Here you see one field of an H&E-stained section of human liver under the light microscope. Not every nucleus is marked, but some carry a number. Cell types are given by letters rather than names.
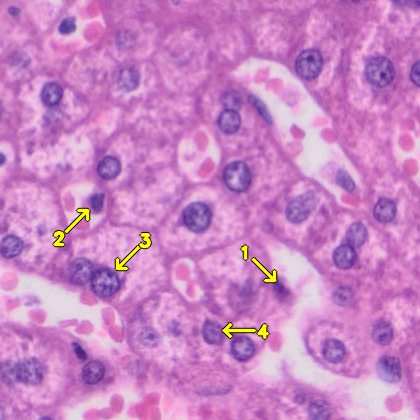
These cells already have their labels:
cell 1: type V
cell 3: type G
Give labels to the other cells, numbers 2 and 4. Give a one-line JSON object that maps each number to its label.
{"2": "type V", "4": "type G"}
